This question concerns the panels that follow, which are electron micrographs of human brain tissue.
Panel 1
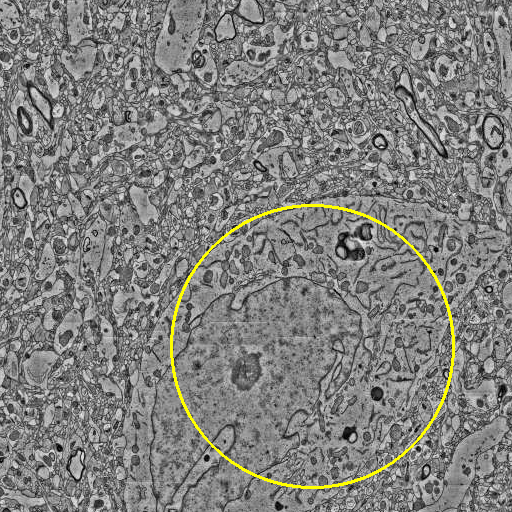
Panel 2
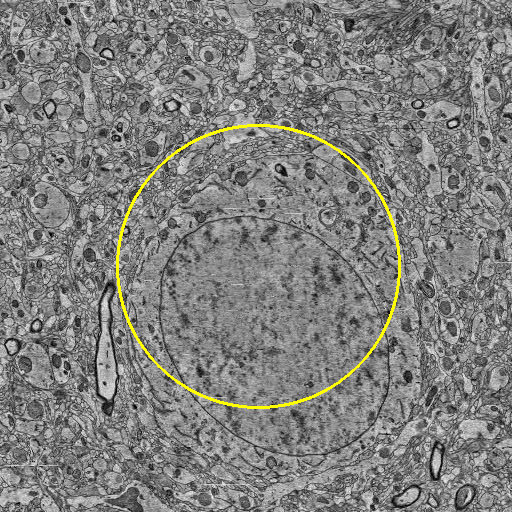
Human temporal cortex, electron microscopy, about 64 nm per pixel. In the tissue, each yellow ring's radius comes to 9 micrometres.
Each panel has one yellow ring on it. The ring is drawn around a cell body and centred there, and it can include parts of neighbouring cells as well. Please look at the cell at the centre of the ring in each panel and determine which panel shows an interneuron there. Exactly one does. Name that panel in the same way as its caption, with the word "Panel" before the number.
Panel 1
